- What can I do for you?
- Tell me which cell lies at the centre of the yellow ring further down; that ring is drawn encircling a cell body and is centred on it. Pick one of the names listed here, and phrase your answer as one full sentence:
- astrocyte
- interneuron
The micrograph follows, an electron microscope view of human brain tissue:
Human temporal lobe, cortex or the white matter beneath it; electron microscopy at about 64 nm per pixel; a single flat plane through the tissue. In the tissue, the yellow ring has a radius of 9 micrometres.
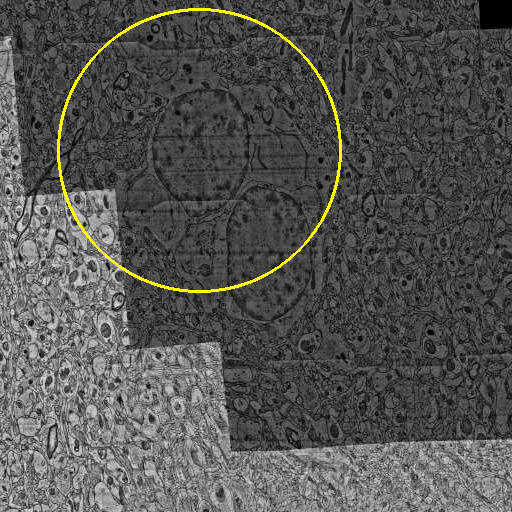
The cell whose body lies at the centre of the yellow ring is an astrocyte.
